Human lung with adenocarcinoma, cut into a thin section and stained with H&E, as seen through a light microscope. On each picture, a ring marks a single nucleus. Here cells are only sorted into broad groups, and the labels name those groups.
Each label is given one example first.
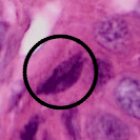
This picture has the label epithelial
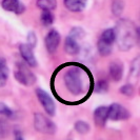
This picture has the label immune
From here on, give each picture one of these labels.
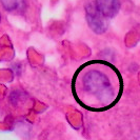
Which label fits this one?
immune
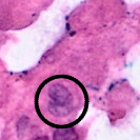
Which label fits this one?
immune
